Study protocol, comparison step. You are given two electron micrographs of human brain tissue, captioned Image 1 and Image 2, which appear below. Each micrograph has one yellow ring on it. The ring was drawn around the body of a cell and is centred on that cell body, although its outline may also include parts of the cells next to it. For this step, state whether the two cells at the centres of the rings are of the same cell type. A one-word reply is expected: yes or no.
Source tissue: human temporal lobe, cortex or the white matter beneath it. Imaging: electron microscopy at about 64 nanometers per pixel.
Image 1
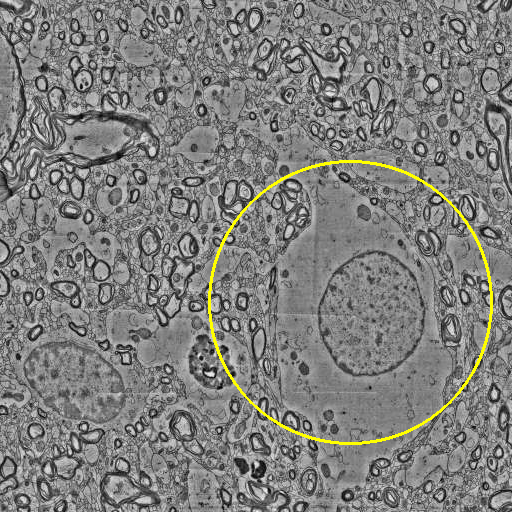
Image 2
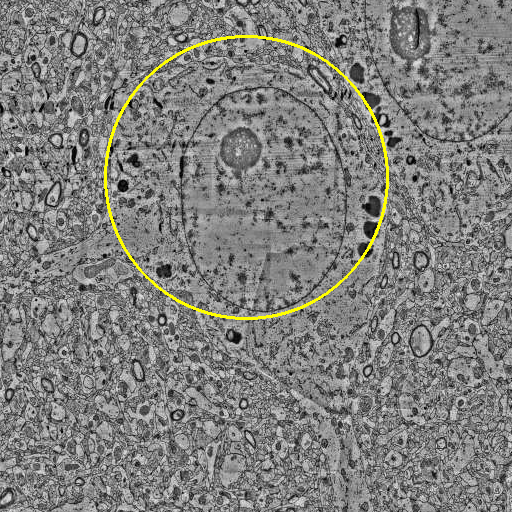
no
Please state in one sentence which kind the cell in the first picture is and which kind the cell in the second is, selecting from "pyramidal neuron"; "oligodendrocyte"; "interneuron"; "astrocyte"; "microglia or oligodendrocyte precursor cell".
The first ringed cell is an astrocyte, the second ringed cell a pyramidal neuron.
